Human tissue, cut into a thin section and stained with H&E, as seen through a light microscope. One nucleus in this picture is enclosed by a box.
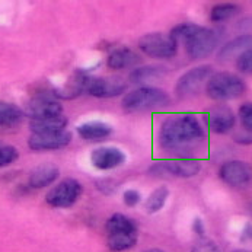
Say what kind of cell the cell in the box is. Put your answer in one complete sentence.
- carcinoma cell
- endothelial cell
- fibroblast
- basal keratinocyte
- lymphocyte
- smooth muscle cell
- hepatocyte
In this field of tissue, the cell in the box is a basal keratinocyte.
